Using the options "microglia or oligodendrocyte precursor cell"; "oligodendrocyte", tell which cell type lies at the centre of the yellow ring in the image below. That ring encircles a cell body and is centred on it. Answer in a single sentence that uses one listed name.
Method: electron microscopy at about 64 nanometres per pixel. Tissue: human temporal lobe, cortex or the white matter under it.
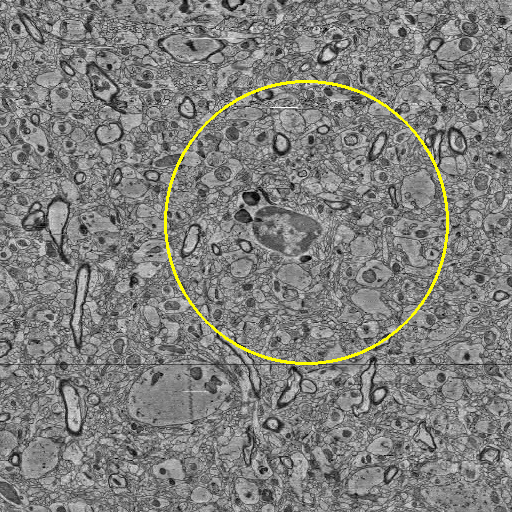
At the centre of the yellow ring lies the body of a microglial cell or oligodendrocyte precursor cell.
